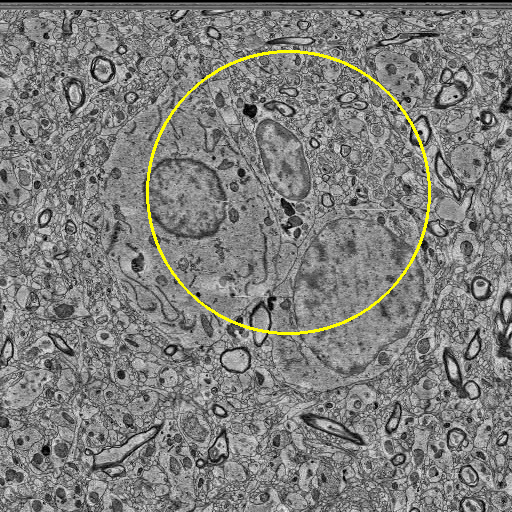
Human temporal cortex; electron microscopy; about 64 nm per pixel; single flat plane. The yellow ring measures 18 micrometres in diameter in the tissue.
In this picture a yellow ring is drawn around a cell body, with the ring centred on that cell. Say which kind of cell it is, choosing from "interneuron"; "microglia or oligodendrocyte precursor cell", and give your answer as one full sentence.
Here it is a microglial cell or oligodendrocyte precursor cell that sits at the centre of the drawn yellow ring.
